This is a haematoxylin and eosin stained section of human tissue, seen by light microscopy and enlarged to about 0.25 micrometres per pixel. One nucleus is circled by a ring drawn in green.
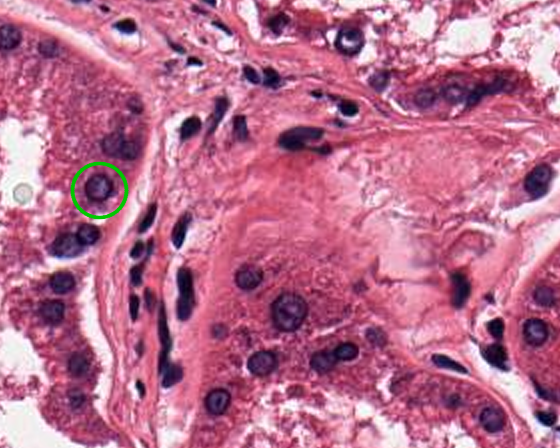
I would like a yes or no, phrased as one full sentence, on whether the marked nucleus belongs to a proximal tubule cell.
Yes, the nucleus bearing the mark is that of a proximal tubule cell.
